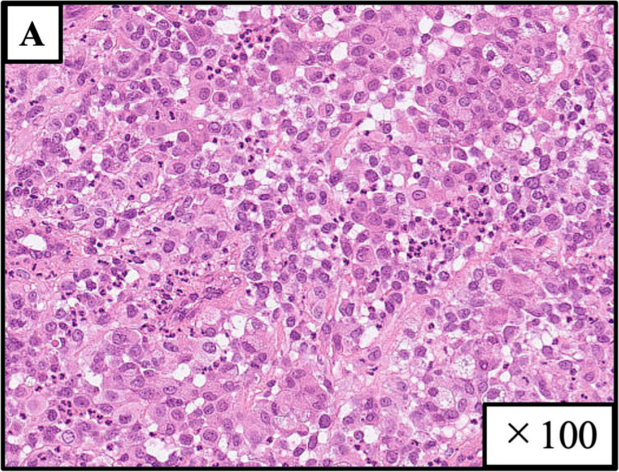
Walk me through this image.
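This shows tumour tissue made of atypical cells growing in sheets and nests within a fibrous stroma. The cells are large and polygonal with ample pink cytoplasm, some of it pale or vacuolated. Scattered small dark inflammatory cells lie between the tumour cell groups.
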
